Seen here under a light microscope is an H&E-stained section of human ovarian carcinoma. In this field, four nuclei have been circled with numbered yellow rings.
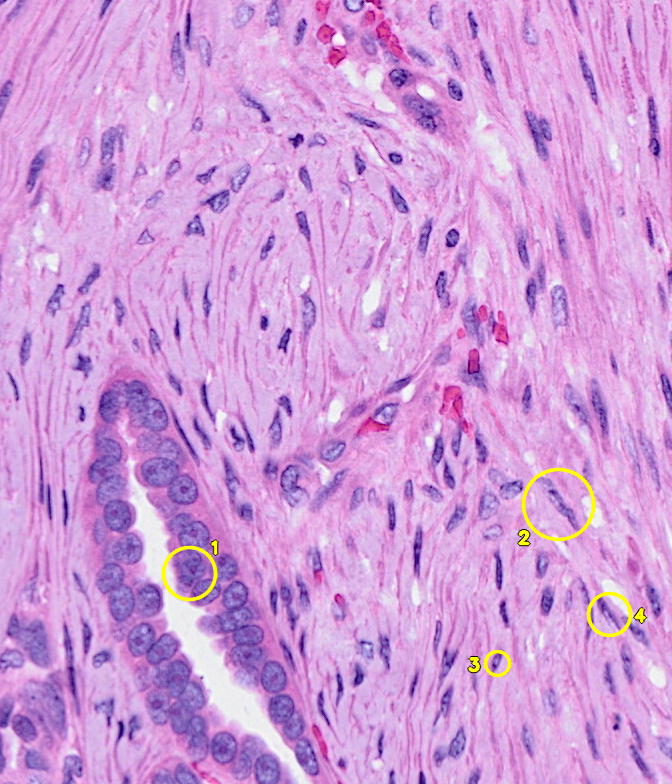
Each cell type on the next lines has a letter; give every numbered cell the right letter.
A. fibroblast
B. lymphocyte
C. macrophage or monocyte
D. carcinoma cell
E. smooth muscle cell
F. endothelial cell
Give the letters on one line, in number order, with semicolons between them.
D; A; A; A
